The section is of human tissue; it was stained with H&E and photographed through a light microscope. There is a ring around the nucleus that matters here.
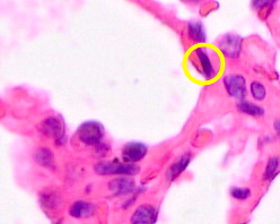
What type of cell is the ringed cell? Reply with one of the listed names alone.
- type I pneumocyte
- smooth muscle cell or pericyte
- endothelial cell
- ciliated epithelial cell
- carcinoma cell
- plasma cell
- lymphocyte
endothelial cell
